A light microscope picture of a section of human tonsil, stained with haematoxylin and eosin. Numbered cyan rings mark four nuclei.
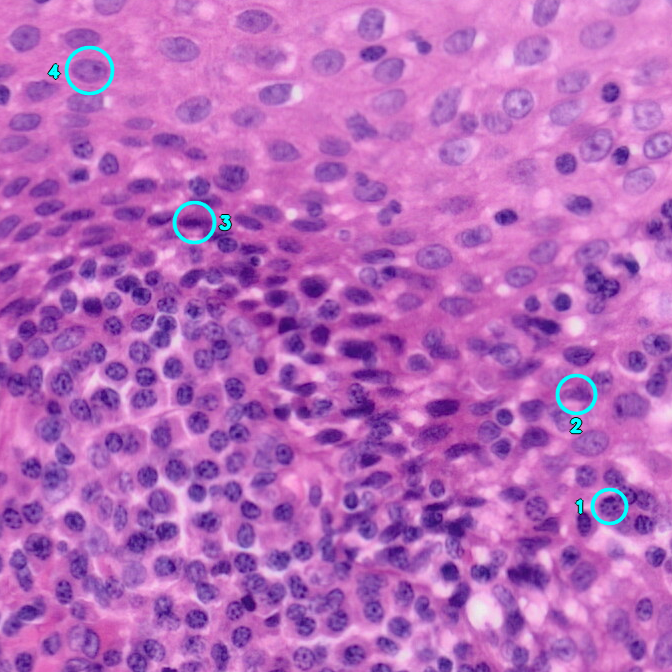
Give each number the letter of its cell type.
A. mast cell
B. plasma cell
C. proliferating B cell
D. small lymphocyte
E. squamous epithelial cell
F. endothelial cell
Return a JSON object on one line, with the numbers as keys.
{"1": "B", "2": "E", "3": "E", "4": "E"}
